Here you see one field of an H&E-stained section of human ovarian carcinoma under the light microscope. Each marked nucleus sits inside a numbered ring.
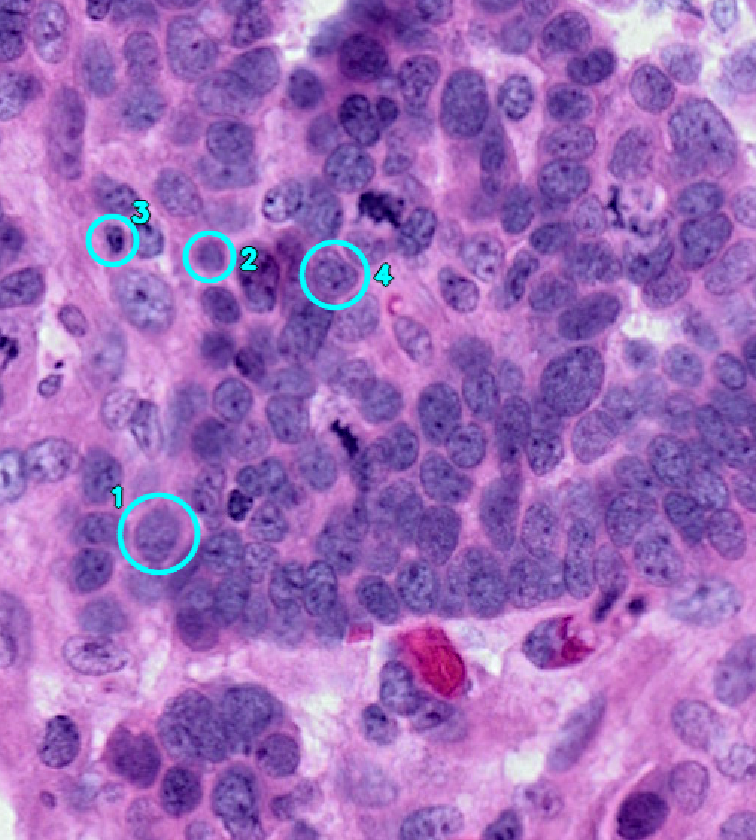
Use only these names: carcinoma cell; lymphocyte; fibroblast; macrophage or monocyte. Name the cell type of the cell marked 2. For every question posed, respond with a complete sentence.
The numbered cell 2 is identified here as a carcinoma cell.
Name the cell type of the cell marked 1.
The cell whose nucleus carries the number 1 is a carcinoma cell.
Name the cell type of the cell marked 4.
It is as a carcinoma cell that the cell numbered 4 is identified.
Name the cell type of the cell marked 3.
The expected answer is that cell 3 is a lymphocyte.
